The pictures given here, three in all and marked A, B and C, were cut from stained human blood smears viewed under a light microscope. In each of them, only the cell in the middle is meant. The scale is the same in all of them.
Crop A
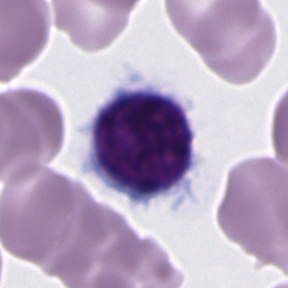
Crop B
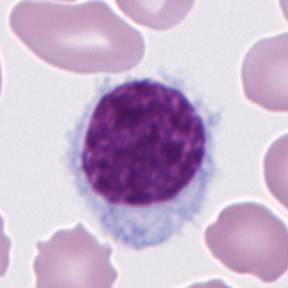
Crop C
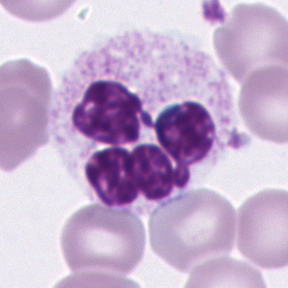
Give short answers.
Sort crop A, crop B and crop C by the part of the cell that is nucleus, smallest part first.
C, B, A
